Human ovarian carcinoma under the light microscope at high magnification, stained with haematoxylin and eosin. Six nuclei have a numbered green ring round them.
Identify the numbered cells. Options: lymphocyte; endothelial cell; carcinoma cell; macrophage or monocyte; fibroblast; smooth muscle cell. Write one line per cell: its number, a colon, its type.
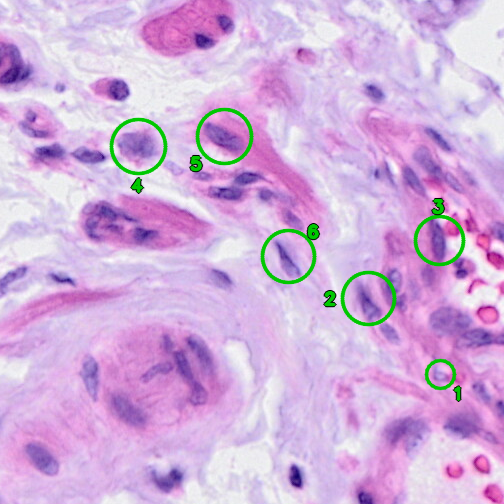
1: endothelial cell
2: endothelial cell
3: endothelial cell
4: fibroblast
5: smooth muscle cell
6: fibroblast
